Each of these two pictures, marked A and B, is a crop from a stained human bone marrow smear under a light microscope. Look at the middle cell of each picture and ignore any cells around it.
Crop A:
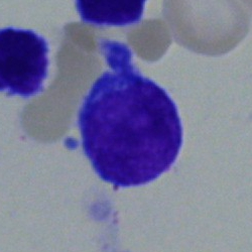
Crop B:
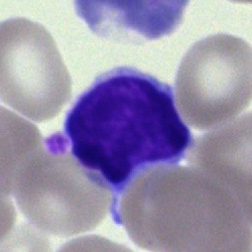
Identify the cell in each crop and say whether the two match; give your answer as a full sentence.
Yes, lymphocytes are the central cells in the two crops.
